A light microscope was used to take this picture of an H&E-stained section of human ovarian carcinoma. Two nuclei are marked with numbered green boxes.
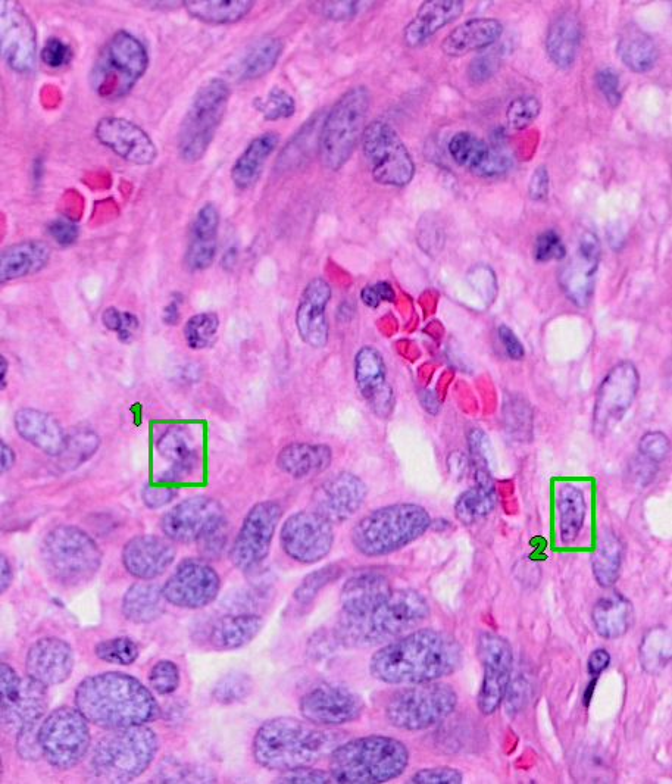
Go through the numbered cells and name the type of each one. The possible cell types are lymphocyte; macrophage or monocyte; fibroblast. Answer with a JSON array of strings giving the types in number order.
["fibroblast", "macrophage or monocyte"]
